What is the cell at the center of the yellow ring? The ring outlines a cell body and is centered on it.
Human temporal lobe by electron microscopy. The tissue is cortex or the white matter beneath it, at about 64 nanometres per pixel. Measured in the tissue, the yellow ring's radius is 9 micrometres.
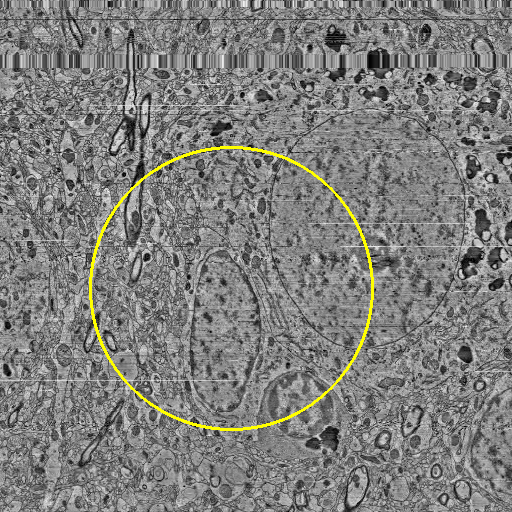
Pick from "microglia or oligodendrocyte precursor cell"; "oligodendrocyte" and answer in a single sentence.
The yellow ring is centered on a microglial cell or oligodendrocyte precursor cell.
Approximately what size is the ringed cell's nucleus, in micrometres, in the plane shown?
In this plane the nucleus is clearly longer than it is wide: roughly 10 by 5 micrometres.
